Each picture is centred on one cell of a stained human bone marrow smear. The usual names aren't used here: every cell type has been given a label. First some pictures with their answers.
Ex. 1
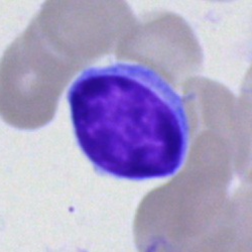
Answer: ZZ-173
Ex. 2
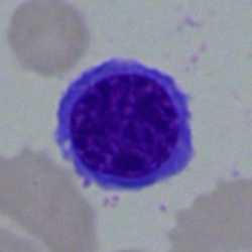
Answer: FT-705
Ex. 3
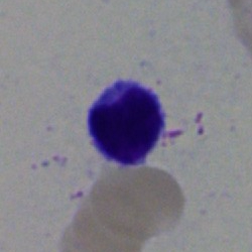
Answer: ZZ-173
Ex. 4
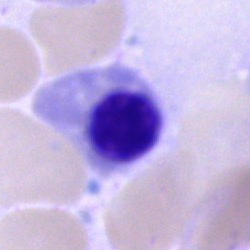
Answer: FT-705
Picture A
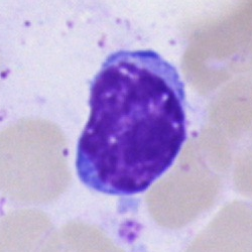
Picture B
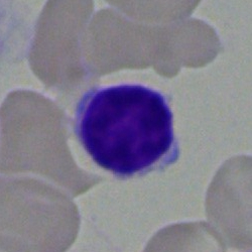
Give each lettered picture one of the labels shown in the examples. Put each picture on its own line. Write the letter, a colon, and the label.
A: ZZ-173
B: ZZ-173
